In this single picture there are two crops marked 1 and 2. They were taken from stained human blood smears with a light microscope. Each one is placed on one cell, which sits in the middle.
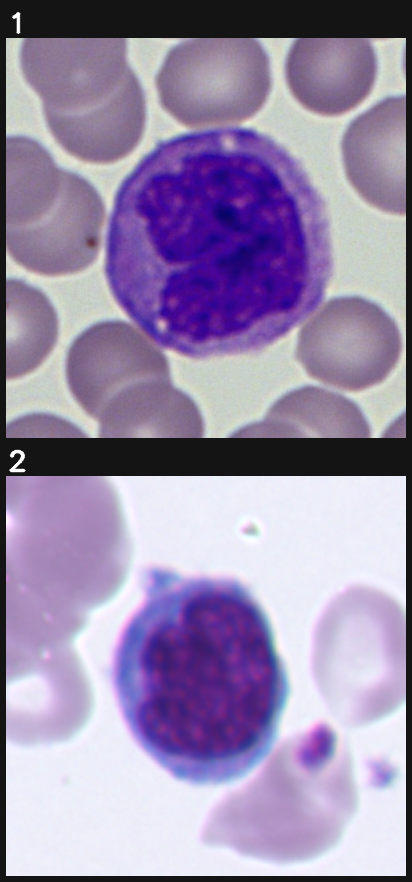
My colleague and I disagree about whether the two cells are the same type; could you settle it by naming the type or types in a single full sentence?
Yes, what both crops show at their centres are monocytes.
